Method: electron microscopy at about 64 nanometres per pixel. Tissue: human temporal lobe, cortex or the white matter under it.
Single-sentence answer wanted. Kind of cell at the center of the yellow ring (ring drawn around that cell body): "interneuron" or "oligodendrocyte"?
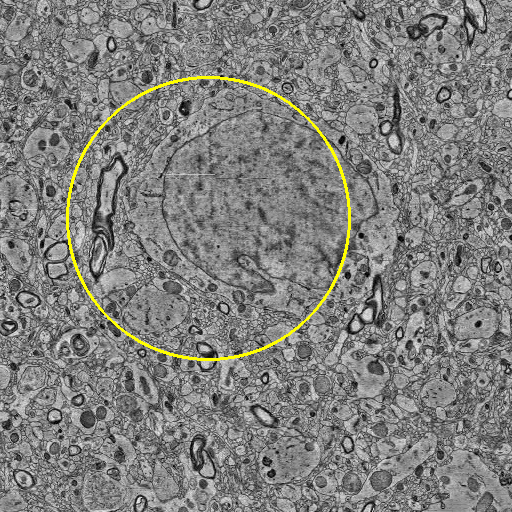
The cell centered in the ring is an interneuron.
